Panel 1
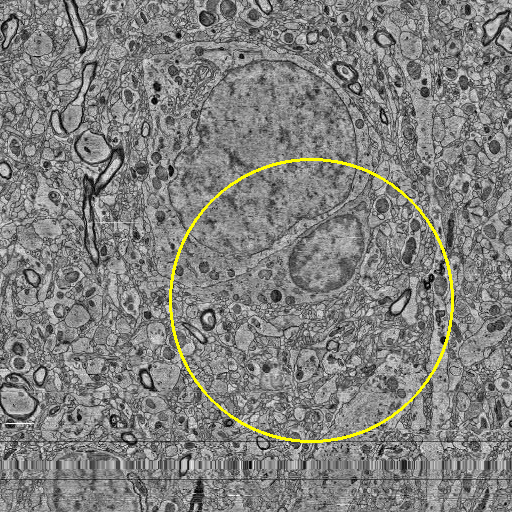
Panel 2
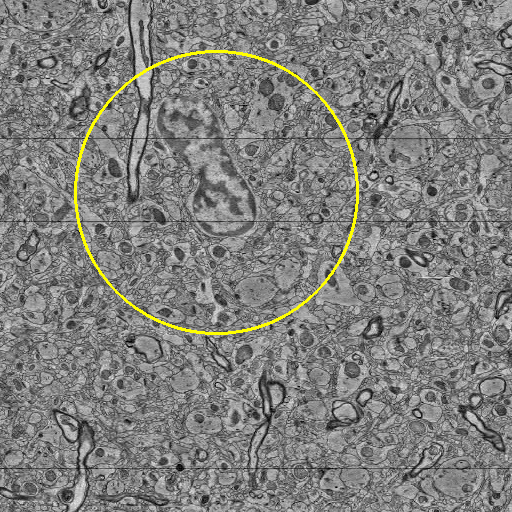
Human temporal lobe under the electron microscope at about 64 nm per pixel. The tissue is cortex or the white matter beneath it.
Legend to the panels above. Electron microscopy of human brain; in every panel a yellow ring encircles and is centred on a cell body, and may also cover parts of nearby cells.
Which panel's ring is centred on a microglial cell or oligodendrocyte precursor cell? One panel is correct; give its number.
2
